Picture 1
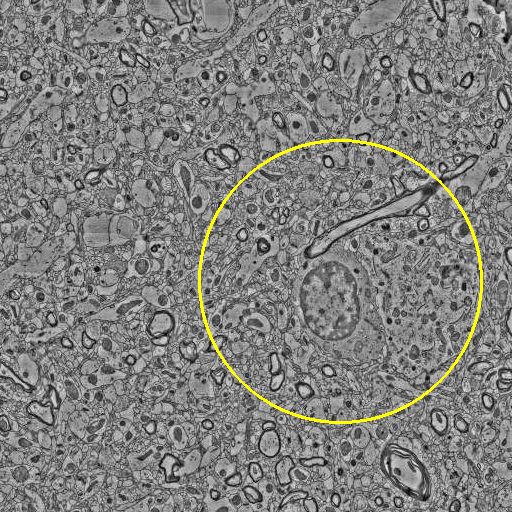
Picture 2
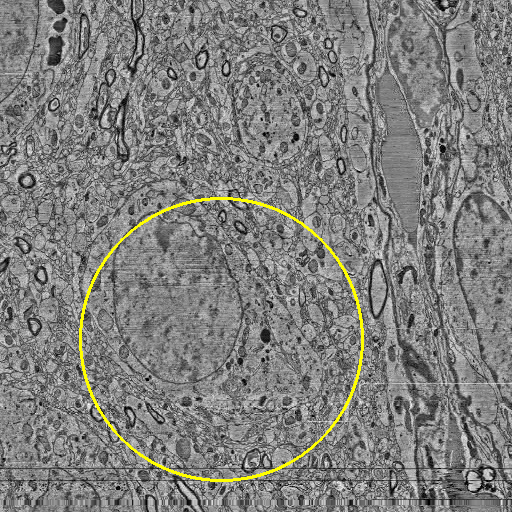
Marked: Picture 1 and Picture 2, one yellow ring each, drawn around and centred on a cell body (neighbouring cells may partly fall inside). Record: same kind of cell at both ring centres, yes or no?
no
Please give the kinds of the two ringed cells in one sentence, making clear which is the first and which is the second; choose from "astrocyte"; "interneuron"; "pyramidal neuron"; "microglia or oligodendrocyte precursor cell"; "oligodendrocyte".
In the second picture the ringed cell is a pyramidal neuron; in the first it is an oligodendrocyte.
